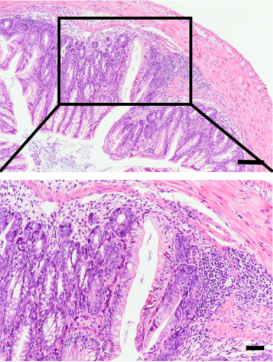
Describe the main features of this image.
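This section of colon shows the mucosa with disturbed crypts under a pink muscle coat. The crypts are irregular, spaced apart and reduced in number, with fewer goblet cells in some. A dense sheet of small cells with dark round nuclei crowds the lamina propria near the muscle layer, which is the picture of inflammatory injury.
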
